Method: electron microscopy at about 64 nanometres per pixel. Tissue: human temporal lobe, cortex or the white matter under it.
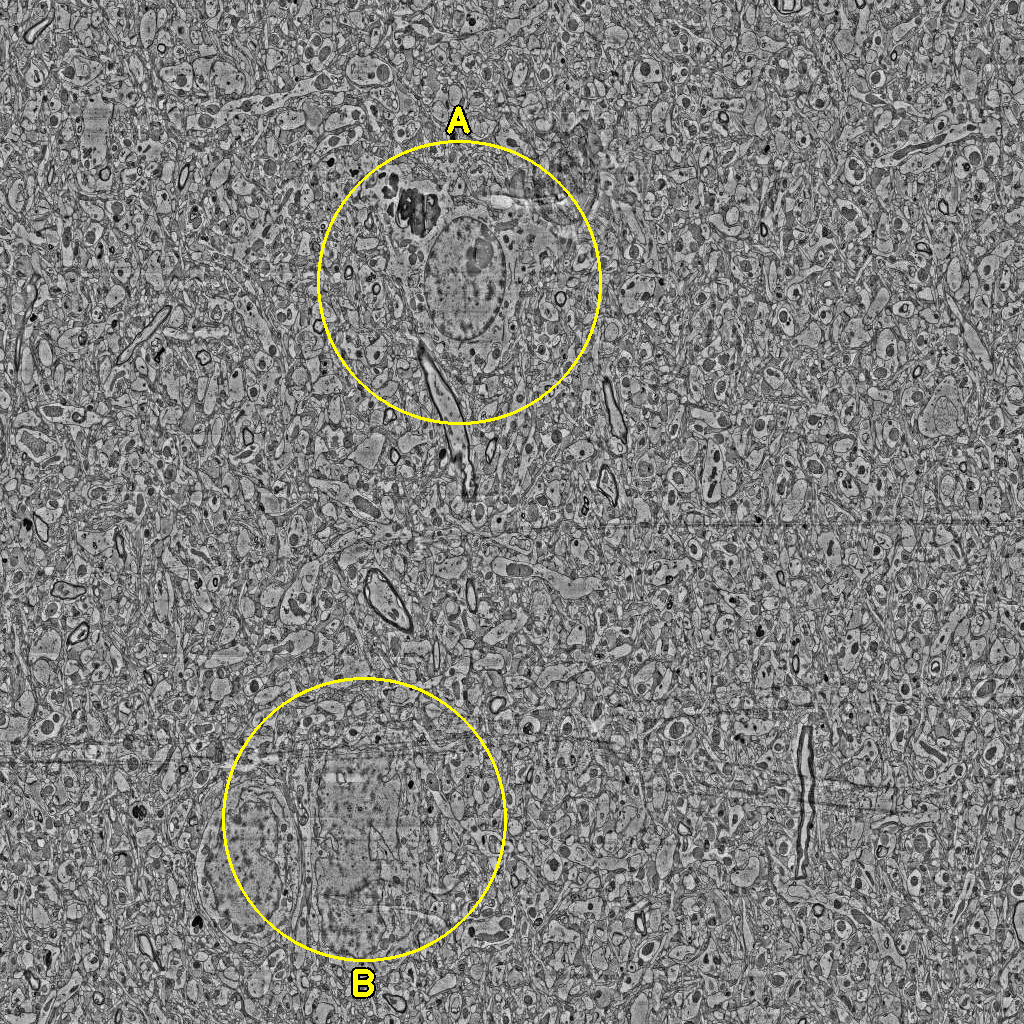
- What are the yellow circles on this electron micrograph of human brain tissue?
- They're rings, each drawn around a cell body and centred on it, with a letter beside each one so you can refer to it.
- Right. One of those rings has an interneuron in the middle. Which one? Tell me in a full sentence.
It's ring B.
